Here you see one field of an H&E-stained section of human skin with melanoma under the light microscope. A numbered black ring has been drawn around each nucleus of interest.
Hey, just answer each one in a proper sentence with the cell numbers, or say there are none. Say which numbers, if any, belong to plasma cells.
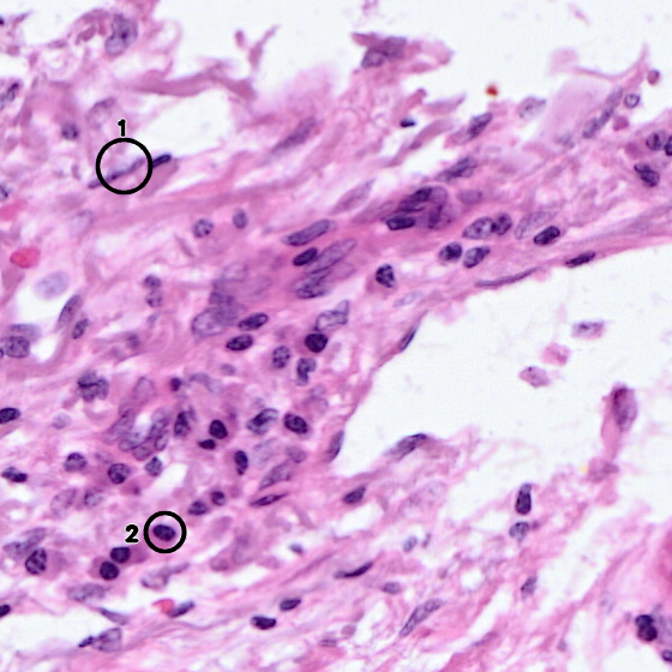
Among the numbered cells, cell 2 alone is a plasma cell.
